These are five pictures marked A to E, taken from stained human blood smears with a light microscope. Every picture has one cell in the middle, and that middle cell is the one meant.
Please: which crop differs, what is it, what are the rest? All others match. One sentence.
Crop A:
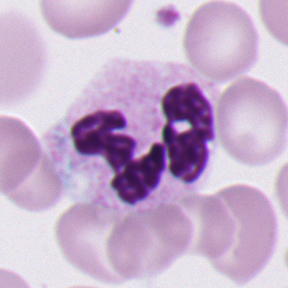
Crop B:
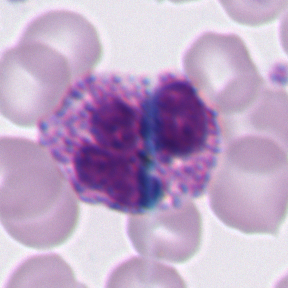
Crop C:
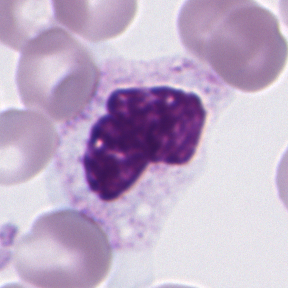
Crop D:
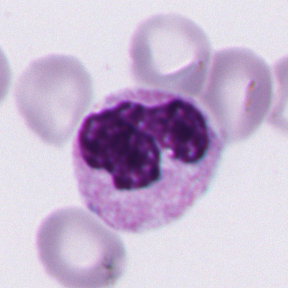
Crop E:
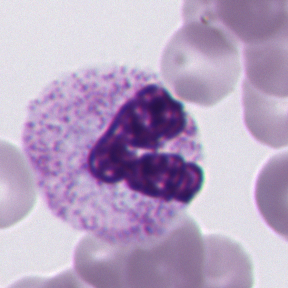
Crop B is a basophil, and the other crops all show segmented neutrophils.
